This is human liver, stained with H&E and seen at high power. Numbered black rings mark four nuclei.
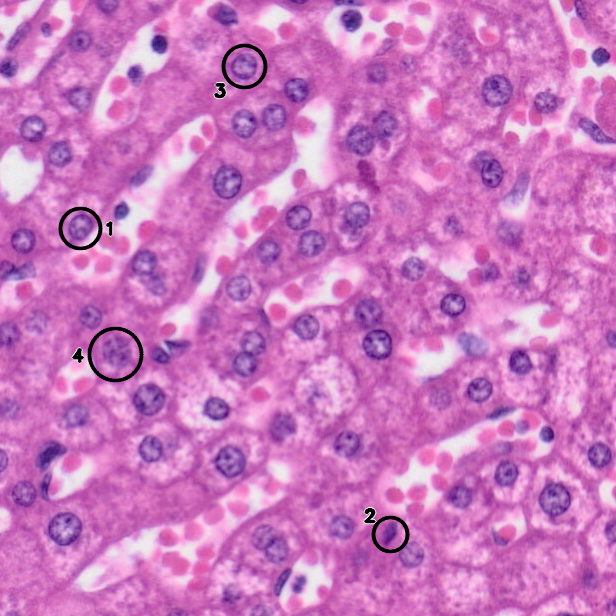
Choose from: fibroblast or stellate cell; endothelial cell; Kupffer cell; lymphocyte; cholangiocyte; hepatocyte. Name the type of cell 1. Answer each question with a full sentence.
The one numbered 1 among the marked cells is a hepatocyte.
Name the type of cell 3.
Within this field of view, the cell labelled 3 is a hepatocyte.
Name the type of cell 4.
Cell 4, as marked in the section, is a hepatocyte.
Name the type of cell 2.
Of the numbered cells, the one labelled 2 is a fibroblast or stellate cell.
